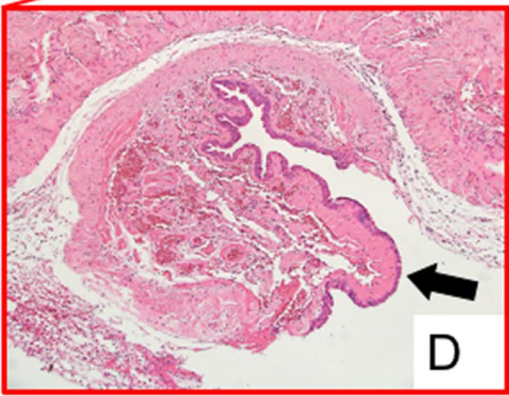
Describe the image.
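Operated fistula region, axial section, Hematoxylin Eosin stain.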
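A cross section shows a central, irregular, branching lumen lined by a continuous layer of closely packed cells with dark purple nuclei, several cells thick and thrown into folds. Beneath this lining lies pink connective tissue containing many small vessels packed with red blood cells. Around it runs a band of denser pink tissue, and outside that looser pink tissue with scattered nuclei. The lining layer covers the lumen surface without obvious gaps.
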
